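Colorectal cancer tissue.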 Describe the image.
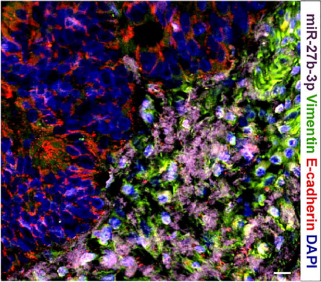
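On the left, densely packed epithelial cells with oval blue nuclei have red-outlined membranes and form a compact nest. The right half holds loosely arranged, irregular and spindle-shaped cells with green cytoplasm, heavily mixed with pink-purple granular signal.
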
